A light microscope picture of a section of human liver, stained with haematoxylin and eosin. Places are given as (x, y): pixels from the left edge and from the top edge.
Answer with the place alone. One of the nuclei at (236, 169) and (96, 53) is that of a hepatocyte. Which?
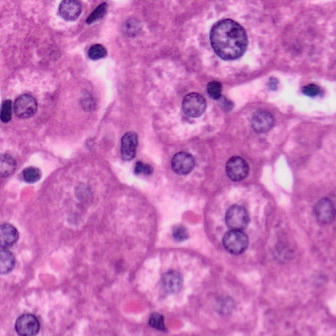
(236, 169)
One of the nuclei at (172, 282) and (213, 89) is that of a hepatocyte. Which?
(172, 282)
